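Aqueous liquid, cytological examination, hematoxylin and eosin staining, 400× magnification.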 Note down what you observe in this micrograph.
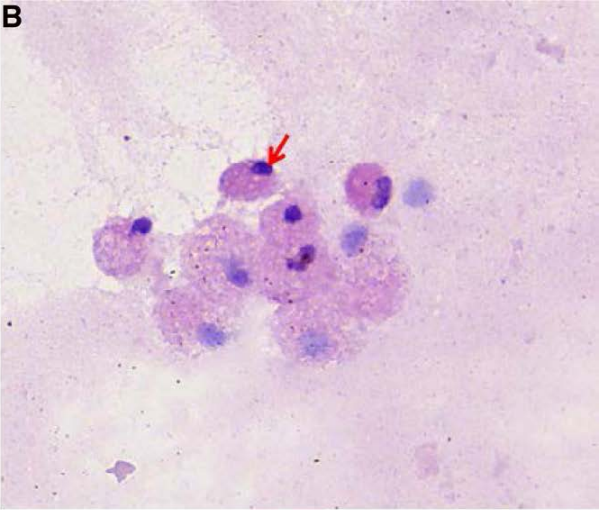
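A loose cluster of large rounded macrophages lies on a pale pink background. Some nuclei stain deep purple and others pale bluish.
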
